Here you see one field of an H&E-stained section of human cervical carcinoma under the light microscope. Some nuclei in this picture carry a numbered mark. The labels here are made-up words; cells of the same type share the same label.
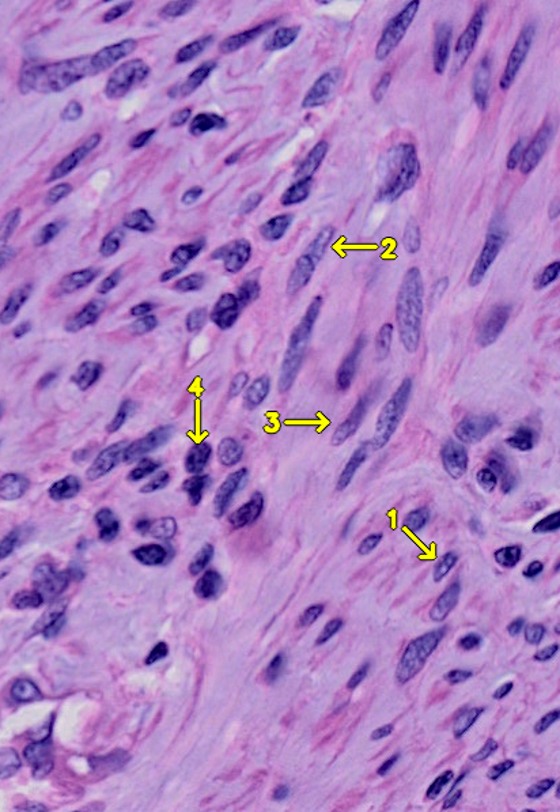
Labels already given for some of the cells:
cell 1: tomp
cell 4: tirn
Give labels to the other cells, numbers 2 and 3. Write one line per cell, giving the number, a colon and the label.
2: tomp
3: tomp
